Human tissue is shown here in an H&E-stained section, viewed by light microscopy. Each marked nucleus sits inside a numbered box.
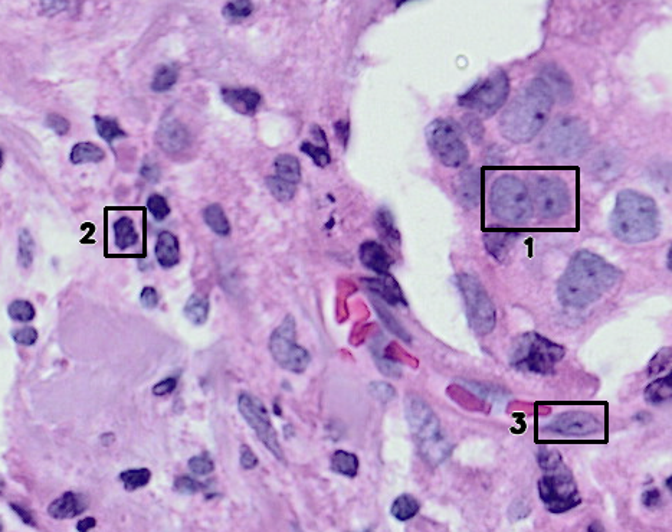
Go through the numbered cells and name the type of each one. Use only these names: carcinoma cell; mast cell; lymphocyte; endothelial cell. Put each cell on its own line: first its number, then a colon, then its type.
1: carcinoma cell
2: lymphocyte
3: endothelial cell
